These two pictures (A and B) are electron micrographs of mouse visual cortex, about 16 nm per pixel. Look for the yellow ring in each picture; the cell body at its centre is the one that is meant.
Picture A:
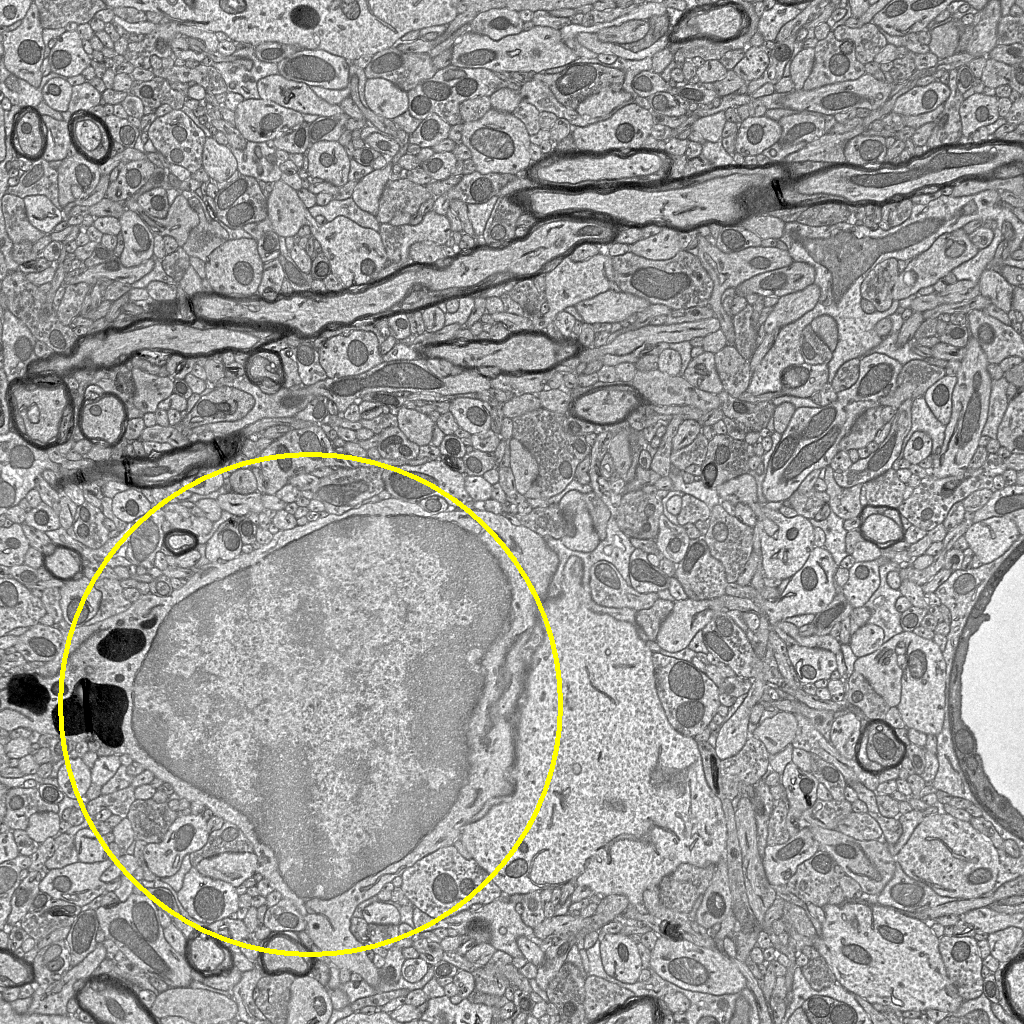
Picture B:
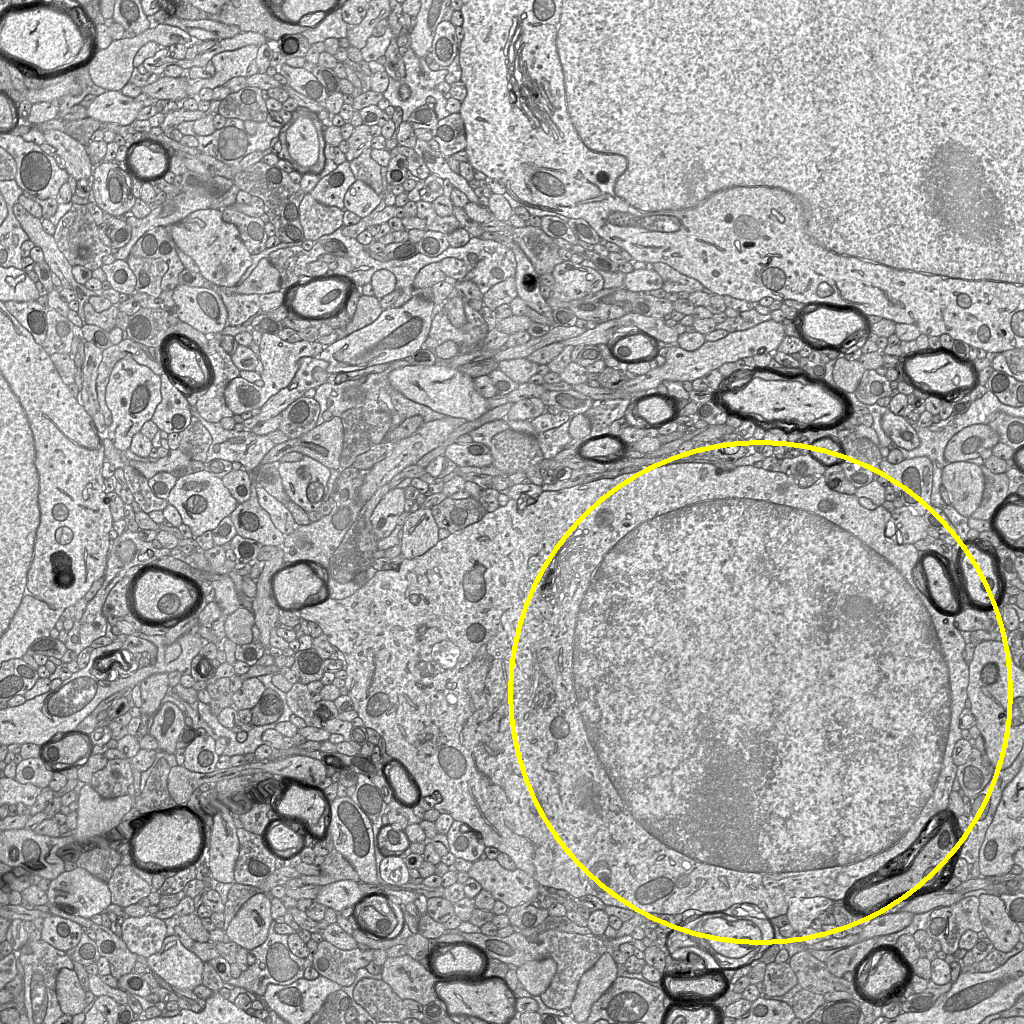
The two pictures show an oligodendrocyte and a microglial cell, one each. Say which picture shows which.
Picture B shows an oligodendrocyte, while picture A shows a microglial cell.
